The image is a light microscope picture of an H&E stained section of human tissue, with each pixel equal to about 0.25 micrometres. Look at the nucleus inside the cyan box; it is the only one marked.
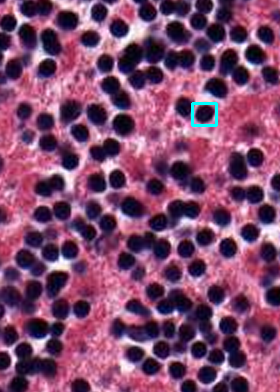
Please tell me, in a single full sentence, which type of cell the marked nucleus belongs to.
The marked nucleus is identified as belonging to a cerebellar granule cell.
